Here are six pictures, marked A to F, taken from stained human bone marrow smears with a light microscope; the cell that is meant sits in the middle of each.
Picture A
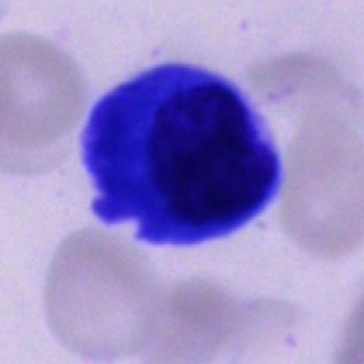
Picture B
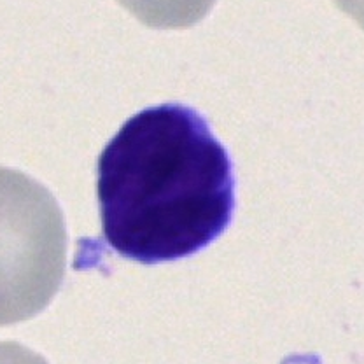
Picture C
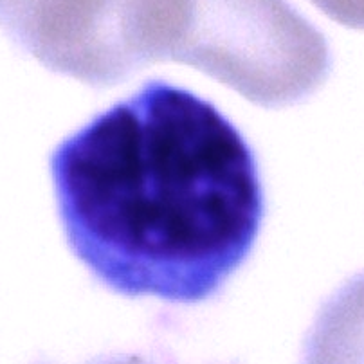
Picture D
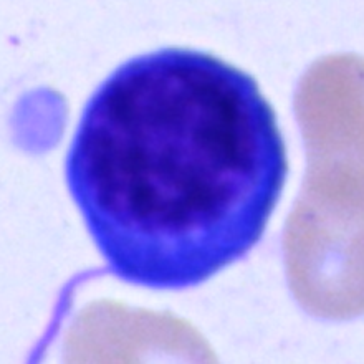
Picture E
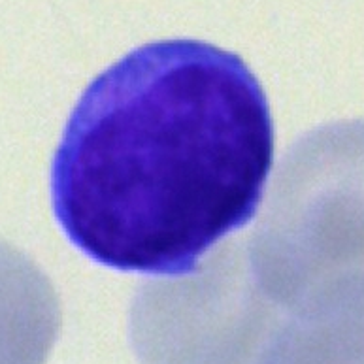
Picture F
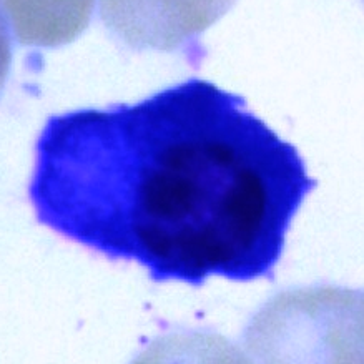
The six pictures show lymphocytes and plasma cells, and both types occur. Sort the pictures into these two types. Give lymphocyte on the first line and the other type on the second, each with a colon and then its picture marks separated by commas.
lymphocyte: B, C, E
plasma cell: A, D, F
